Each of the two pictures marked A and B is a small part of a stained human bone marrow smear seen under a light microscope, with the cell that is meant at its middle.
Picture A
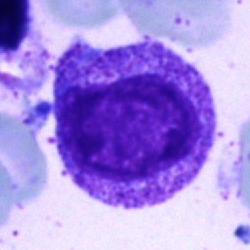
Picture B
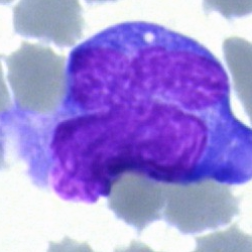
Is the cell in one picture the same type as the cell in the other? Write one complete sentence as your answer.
No, picture A shows a promyelocyte and picture B shows a monocyte.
